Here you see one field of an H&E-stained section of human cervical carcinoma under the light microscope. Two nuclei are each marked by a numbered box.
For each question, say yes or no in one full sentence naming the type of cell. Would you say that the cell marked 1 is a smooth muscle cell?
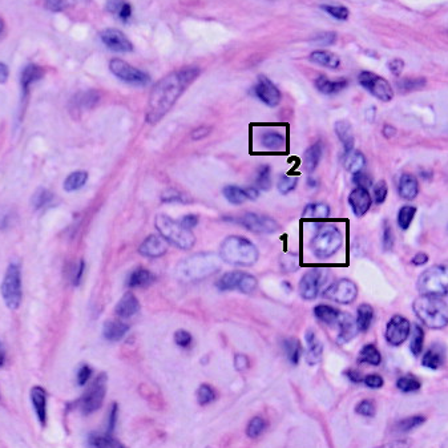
No, calling cell 1 a smooth muscle cell is a mistake; it is an endothelial cell.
